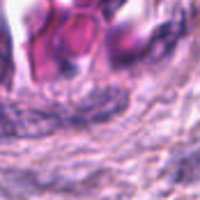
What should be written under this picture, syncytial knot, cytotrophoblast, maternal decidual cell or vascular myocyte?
vascular myocyte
